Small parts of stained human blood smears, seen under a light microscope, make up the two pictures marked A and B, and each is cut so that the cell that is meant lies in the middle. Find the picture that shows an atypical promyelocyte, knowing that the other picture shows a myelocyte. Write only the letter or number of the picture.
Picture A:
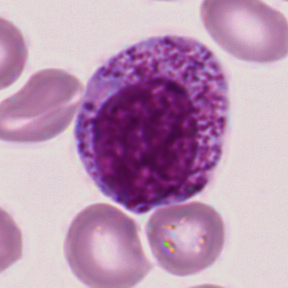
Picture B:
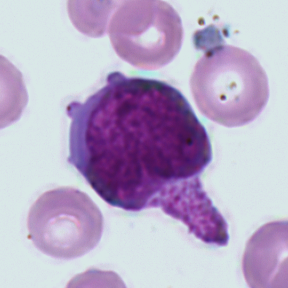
B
